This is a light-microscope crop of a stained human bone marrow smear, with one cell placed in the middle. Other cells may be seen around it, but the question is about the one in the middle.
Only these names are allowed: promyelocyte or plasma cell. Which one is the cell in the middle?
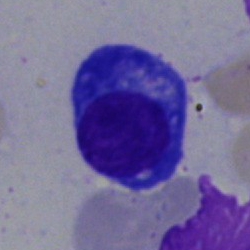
plasma cell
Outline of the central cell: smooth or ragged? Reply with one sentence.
In short, the margin is smooth with no projections at all.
